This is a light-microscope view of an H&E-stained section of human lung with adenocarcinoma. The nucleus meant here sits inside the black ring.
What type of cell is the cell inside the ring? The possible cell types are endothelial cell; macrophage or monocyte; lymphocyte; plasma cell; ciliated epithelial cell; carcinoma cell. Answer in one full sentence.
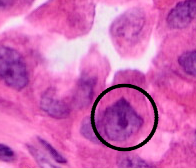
In the tissue at hand, the cell inside the ring is a carcinoma cell.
